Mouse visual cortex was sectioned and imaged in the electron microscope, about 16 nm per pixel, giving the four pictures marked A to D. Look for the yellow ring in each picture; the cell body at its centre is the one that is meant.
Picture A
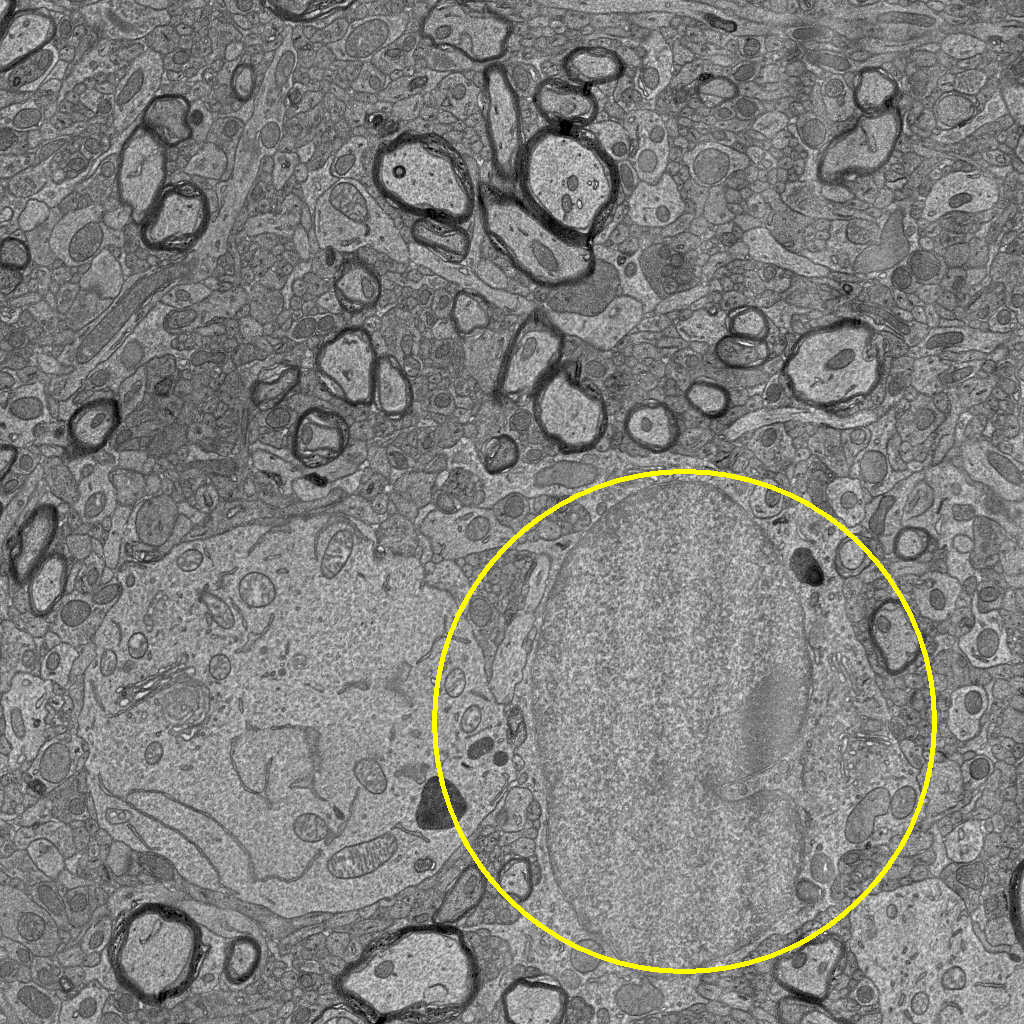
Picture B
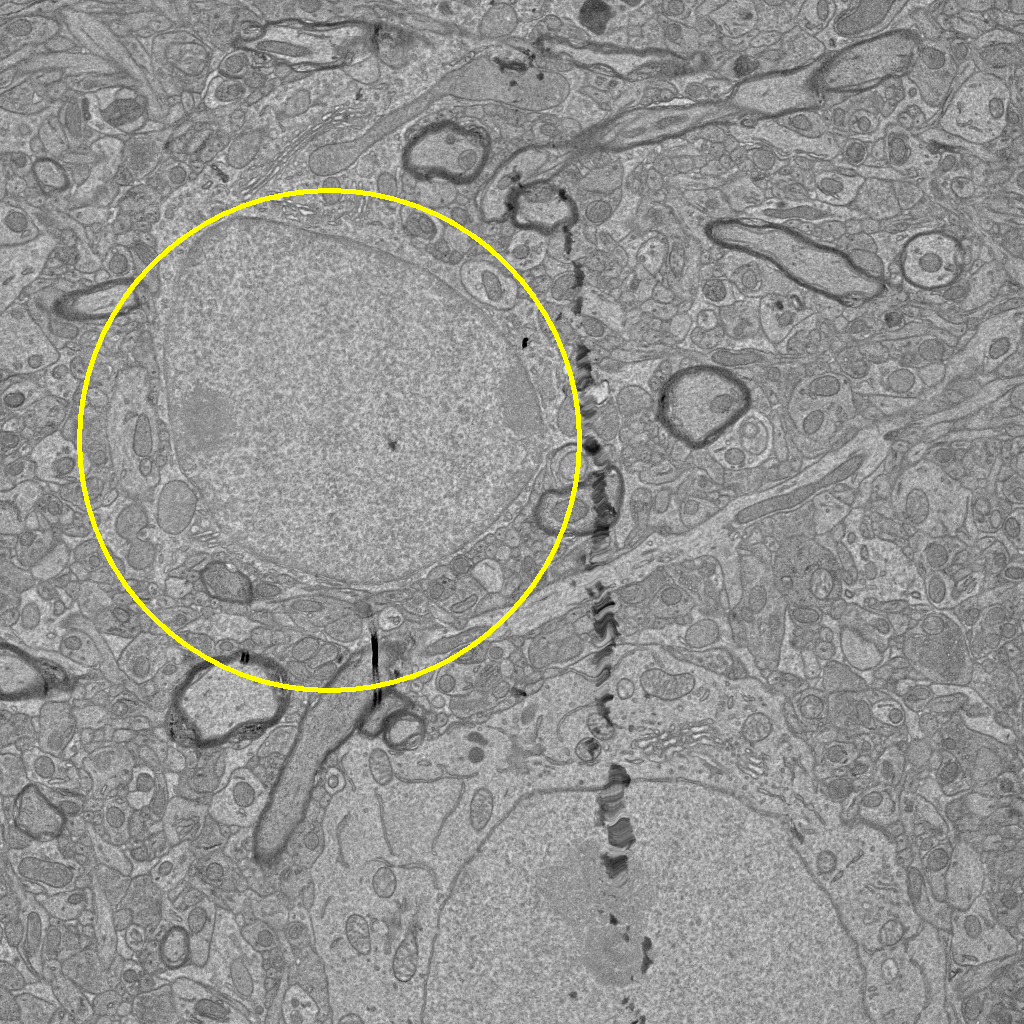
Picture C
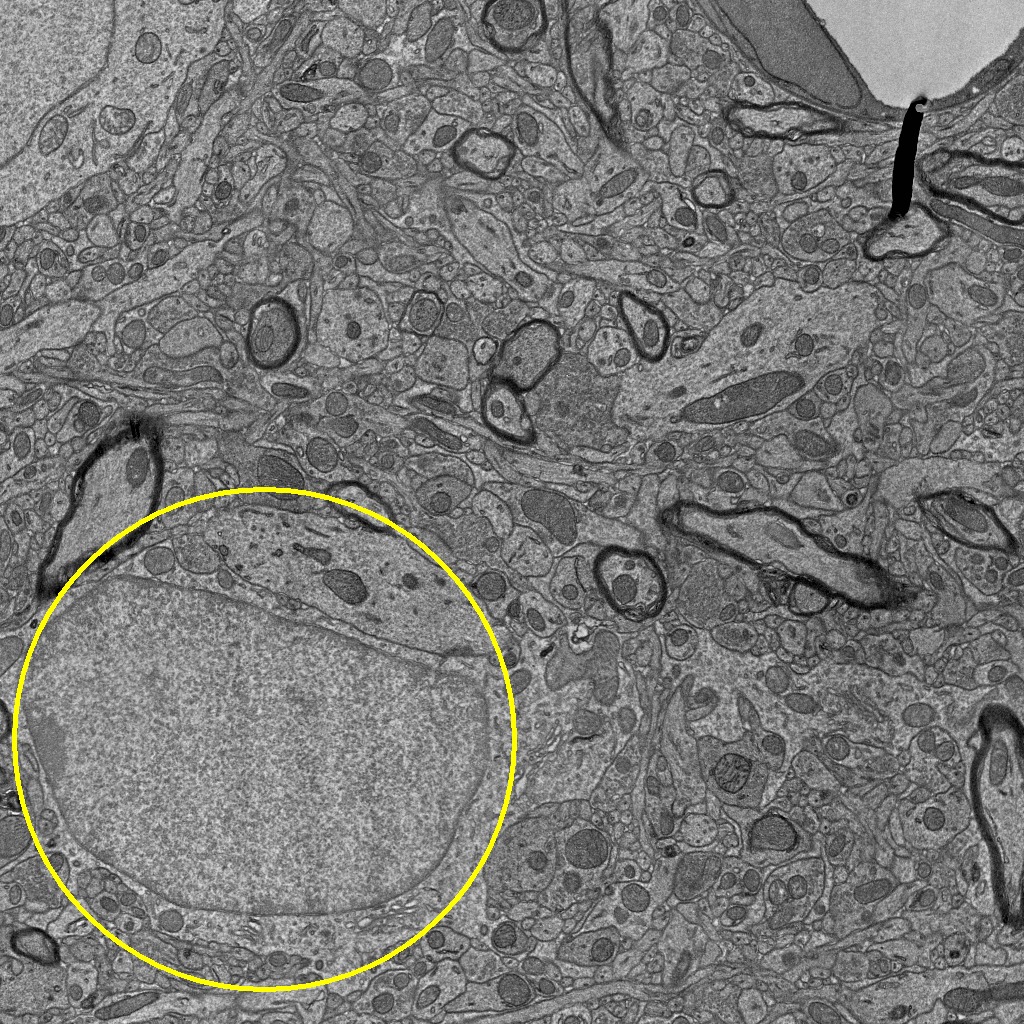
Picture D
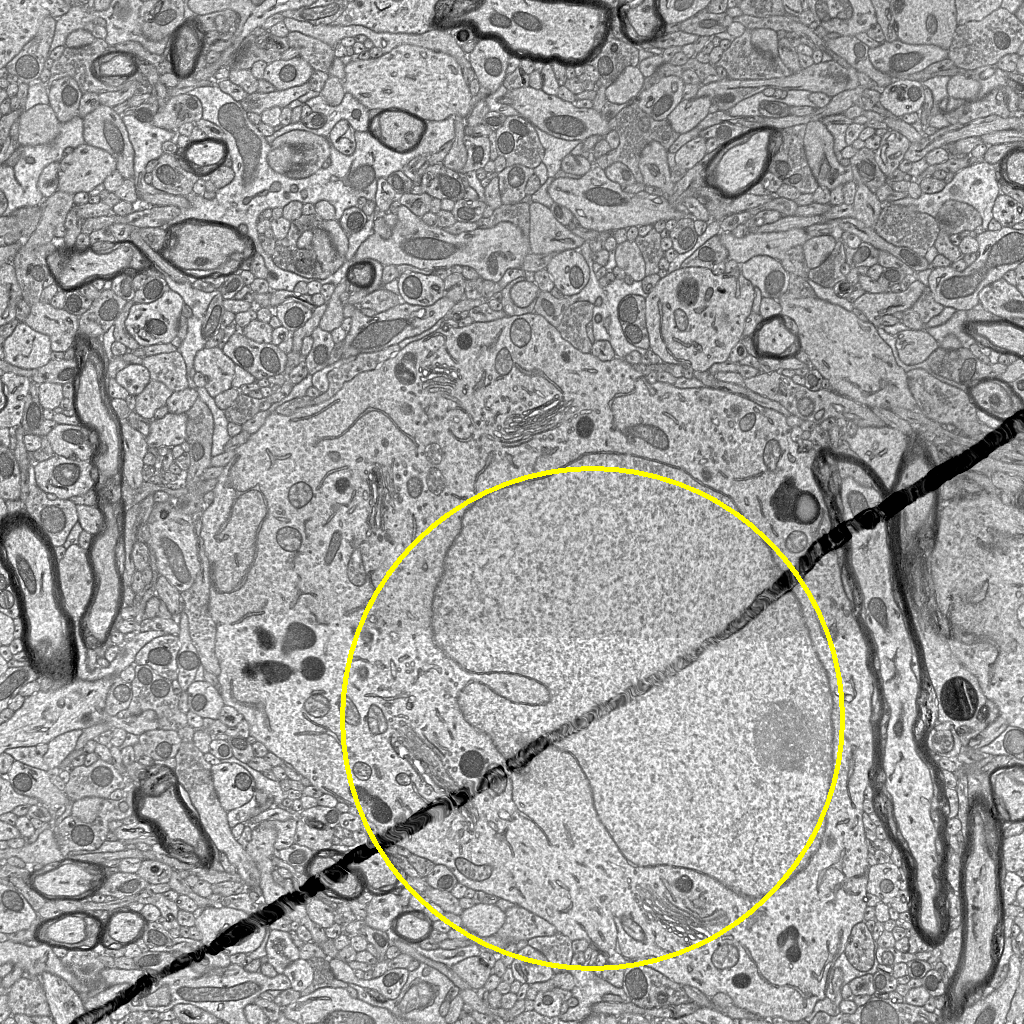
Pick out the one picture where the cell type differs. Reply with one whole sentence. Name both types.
The others show astrocytes, but picture D shows an excitatory neuron.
